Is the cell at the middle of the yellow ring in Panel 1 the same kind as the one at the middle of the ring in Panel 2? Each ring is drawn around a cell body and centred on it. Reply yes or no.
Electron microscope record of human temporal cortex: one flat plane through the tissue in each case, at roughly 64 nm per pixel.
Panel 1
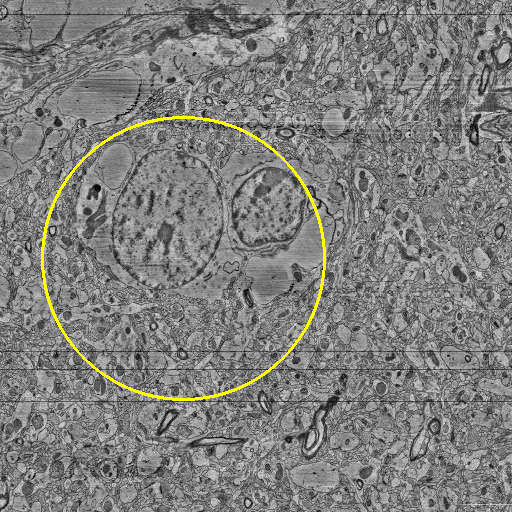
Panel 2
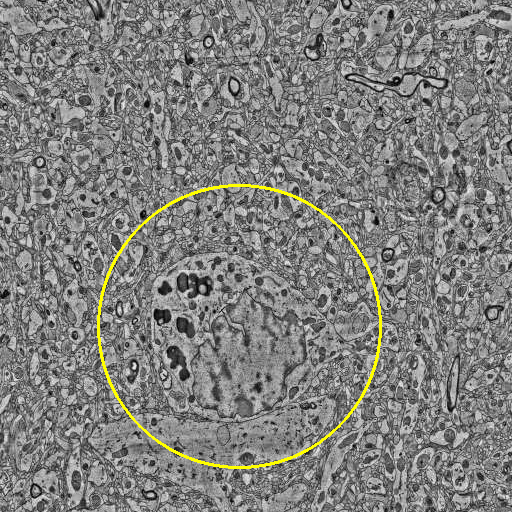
no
